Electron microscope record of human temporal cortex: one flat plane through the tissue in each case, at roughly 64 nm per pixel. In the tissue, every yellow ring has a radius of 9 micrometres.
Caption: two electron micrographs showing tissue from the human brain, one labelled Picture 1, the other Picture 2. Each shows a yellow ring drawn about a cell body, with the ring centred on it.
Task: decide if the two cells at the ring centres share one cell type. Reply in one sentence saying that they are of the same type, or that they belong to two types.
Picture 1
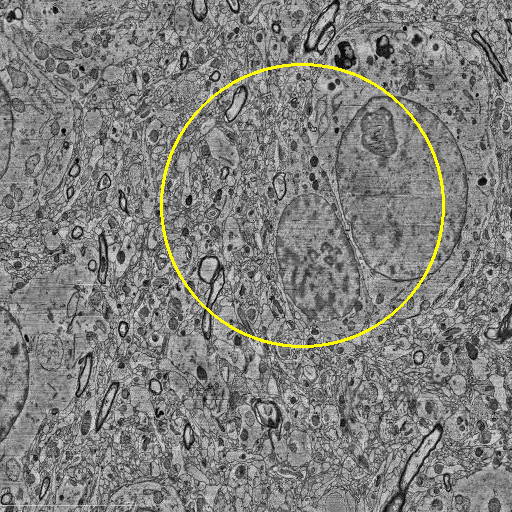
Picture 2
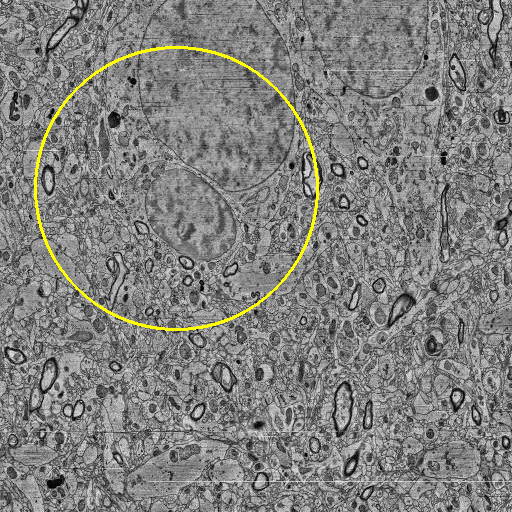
The cells at the ring centres in Picture 1 and Picture 2 are of the same type.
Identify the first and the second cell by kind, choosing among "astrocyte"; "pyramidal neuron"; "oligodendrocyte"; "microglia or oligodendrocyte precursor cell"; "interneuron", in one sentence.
Each of the two pictures has an oligodendrocyte at the ring centre.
